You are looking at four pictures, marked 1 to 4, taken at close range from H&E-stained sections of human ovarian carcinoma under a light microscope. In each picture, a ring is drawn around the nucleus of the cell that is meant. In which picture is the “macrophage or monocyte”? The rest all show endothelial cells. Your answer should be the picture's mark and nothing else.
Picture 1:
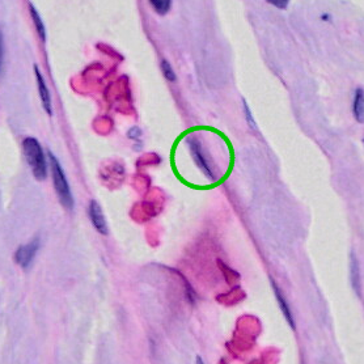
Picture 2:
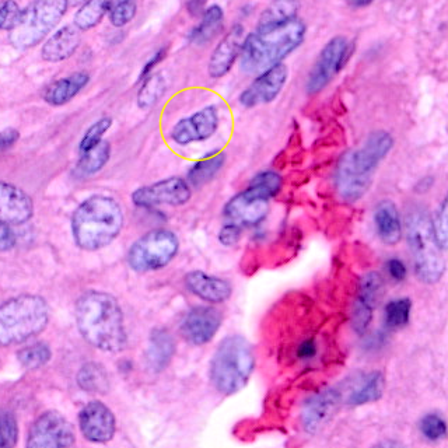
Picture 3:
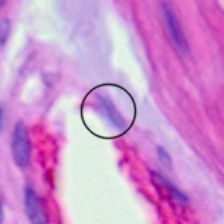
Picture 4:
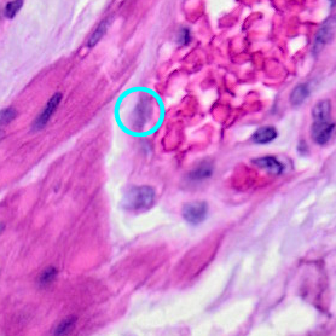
2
